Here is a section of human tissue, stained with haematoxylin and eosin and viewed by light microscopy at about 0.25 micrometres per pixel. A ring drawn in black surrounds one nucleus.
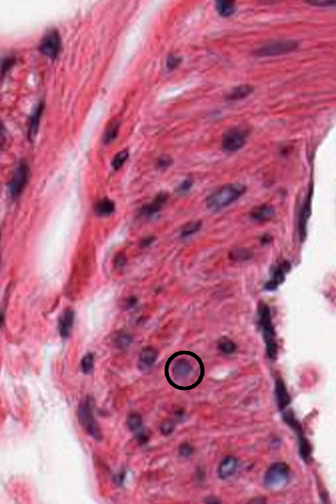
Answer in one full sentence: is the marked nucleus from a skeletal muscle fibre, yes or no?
No, the marked nucleus is not located in a skeletal muscle fibre.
